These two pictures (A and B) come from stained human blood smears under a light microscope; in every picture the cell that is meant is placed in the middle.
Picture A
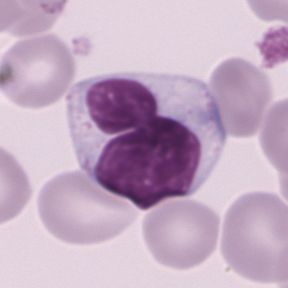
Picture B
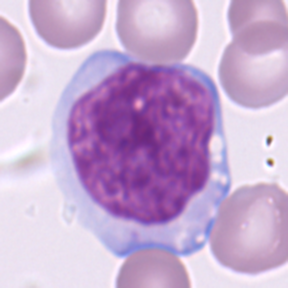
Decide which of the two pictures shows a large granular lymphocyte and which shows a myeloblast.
A: large granular lymphocyte
B: myeloblast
